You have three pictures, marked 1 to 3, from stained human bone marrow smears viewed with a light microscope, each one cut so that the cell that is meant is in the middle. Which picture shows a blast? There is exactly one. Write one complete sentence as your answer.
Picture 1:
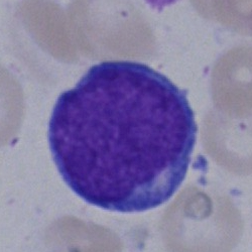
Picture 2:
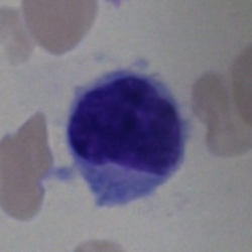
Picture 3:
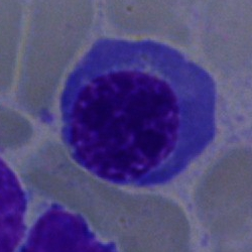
Picture 1 is the one that shows the blast.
